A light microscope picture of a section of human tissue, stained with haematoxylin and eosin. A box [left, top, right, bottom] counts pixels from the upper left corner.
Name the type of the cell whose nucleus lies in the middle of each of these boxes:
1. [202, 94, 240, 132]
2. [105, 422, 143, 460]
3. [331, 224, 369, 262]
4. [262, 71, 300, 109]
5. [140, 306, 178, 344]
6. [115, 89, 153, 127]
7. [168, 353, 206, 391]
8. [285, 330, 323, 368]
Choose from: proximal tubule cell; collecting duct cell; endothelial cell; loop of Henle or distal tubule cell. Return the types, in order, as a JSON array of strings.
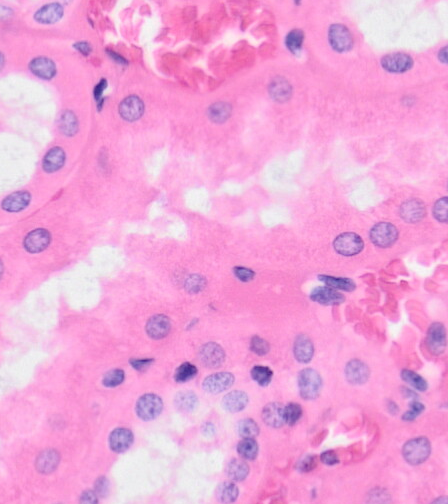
["proximal tubule cell", "loop of Henle or distal tubule cell", "proximal tubule cell", "proximal tubule cell", "proximal tubule cell", "proximal tubule cell", "loop of Henle or distal tubule cell", "collecting duct cell"]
